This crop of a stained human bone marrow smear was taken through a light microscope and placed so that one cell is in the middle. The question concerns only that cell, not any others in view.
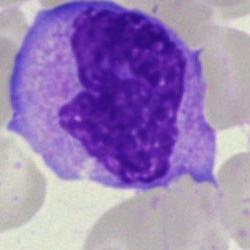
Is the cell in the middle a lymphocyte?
no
